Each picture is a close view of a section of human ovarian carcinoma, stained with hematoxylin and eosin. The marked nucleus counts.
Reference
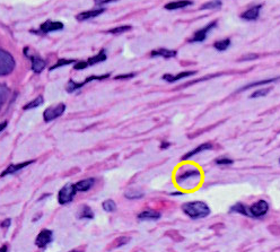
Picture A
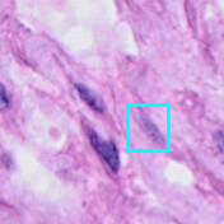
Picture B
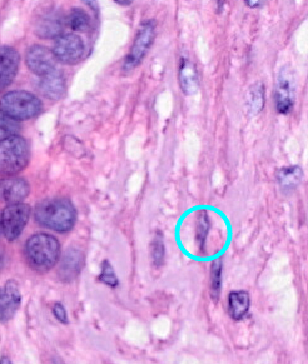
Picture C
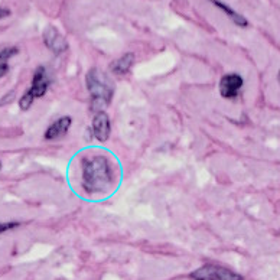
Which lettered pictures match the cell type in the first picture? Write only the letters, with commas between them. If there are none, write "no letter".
A, B, C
